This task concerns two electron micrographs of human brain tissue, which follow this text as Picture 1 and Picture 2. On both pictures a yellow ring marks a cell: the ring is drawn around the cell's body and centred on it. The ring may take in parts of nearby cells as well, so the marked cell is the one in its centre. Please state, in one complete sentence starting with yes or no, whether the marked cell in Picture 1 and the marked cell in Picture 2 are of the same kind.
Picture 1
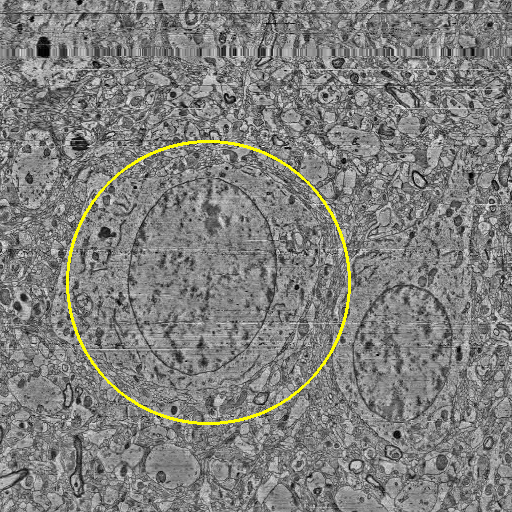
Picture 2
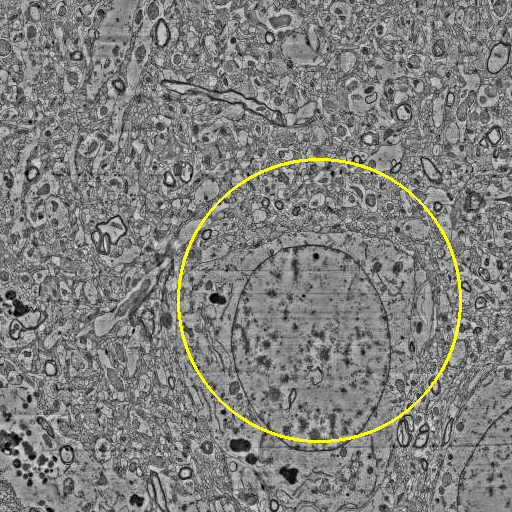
Yes, the marked cells in both pictures are of the same kind.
